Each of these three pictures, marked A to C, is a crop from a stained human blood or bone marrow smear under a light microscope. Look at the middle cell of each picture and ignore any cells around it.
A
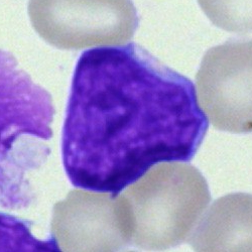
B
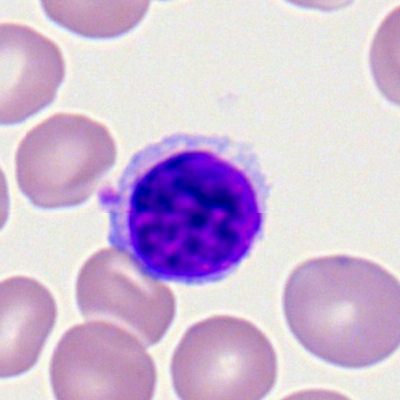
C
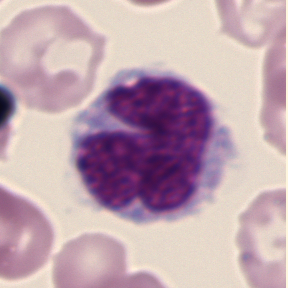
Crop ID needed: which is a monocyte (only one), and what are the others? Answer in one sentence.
In short, crop C is a monocyte, and crop A is a blast and crop B is a lymphocyte.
